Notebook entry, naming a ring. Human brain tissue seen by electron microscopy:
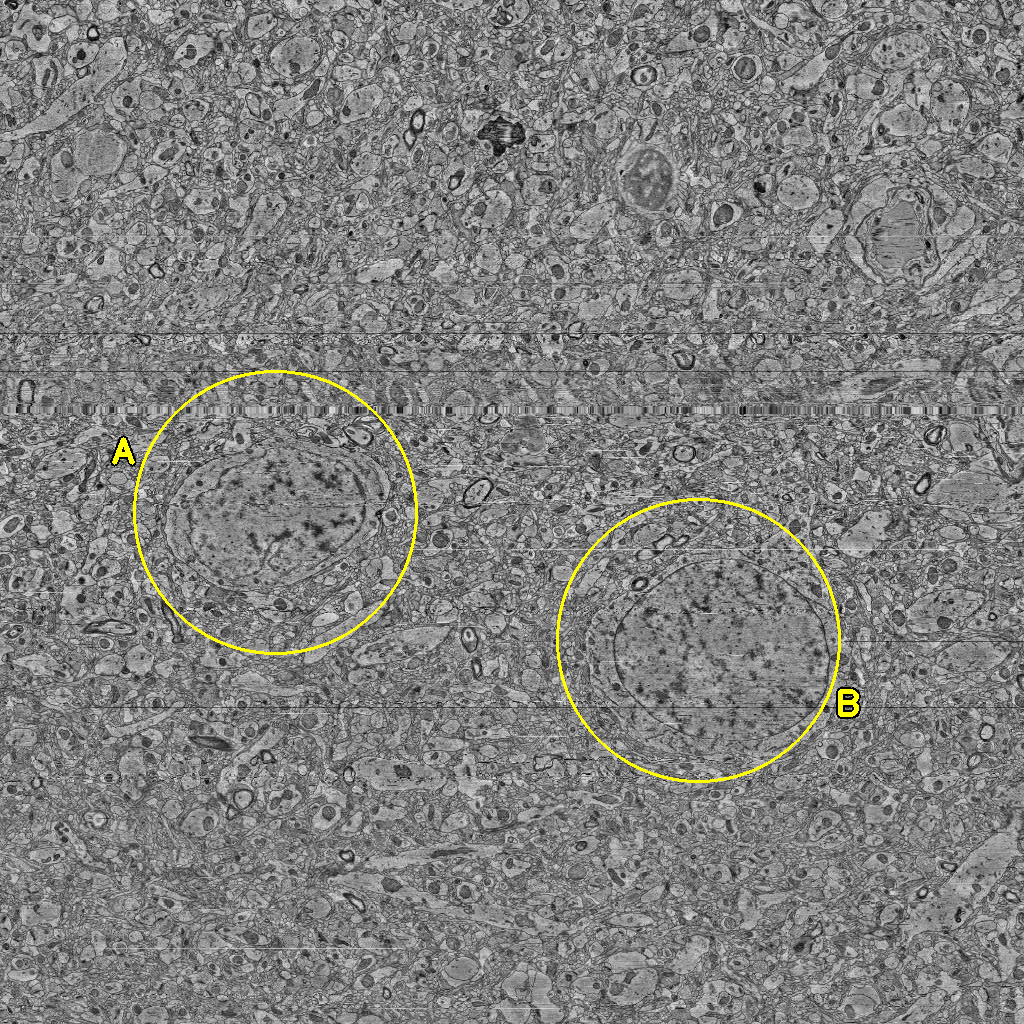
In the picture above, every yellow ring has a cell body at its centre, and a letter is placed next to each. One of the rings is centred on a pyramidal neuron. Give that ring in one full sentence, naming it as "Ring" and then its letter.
Ring B is the ring whose centre holds the cell asked for.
